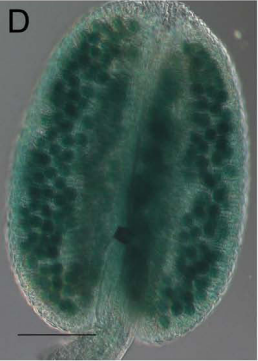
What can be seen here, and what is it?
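This is an anther, an oval organ whose chambers on either side are packed with many small round pollen grains. The grains are stained blue-green and stand out as dark dots against the paler wall tissue and the central strip between the chambers.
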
